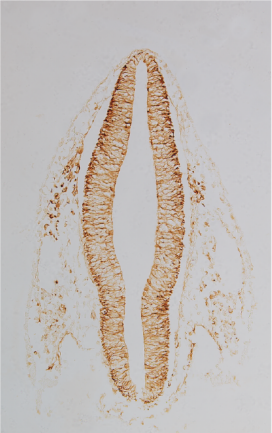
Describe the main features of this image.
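A cross-section shows a tall tube whose thick wall surrounds a narrow, diamond-shaped central lumen, stained strongly brown. The wall is made of long, slender cells stretching radially from the lumen to the outer surface, giving a striated, fibrous look.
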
